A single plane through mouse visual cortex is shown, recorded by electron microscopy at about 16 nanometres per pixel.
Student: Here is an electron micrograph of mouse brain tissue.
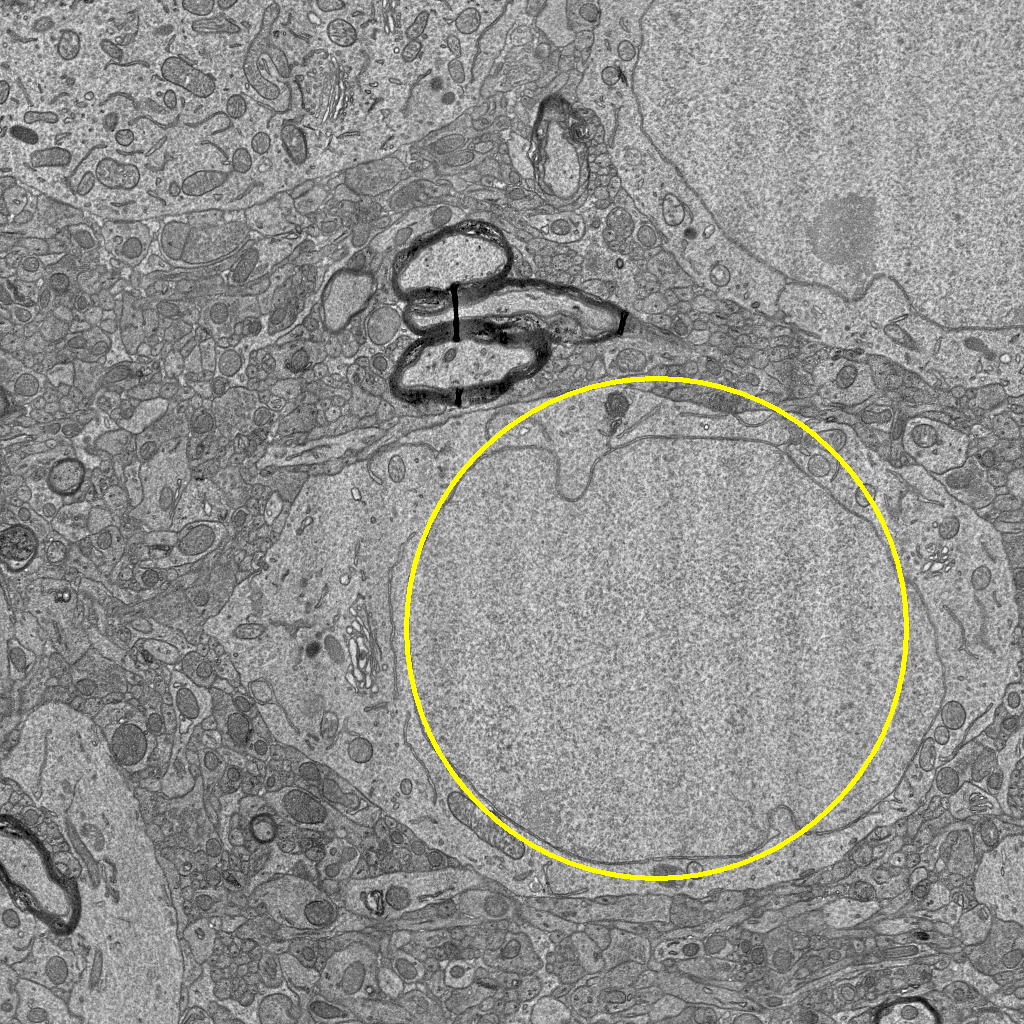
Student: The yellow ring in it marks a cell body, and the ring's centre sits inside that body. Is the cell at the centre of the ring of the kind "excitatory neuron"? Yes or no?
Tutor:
yes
